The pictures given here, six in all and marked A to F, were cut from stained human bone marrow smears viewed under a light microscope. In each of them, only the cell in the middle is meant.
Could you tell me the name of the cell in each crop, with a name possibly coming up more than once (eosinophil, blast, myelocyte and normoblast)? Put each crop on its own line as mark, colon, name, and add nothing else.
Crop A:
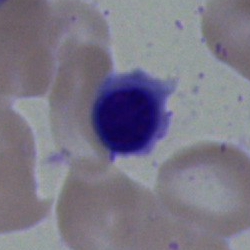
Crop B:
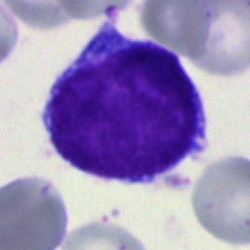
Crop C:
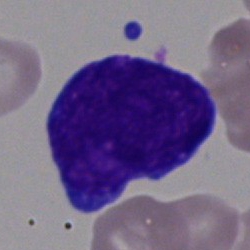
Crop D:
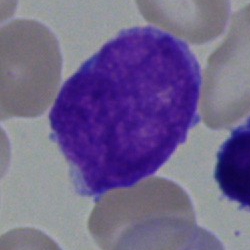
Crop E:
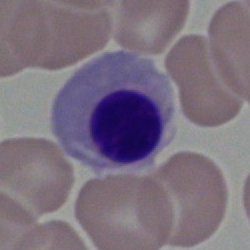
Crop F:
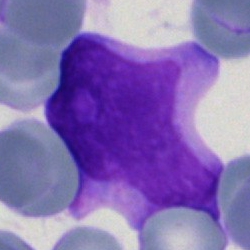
A: normoblast
B: blast
C: blast
D: blast
E: normoblast
F: blast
